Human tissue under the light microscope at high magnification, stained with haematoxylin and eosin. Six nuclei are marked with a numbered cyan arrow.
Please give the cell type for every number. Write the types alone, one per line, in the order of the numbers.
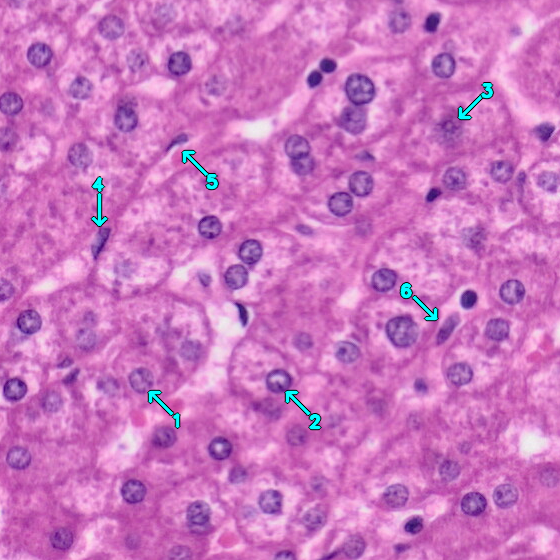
hepatocyte
hepatocyte
hepatocyte
endothelial cell
endothelial cell
Kupffer cell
